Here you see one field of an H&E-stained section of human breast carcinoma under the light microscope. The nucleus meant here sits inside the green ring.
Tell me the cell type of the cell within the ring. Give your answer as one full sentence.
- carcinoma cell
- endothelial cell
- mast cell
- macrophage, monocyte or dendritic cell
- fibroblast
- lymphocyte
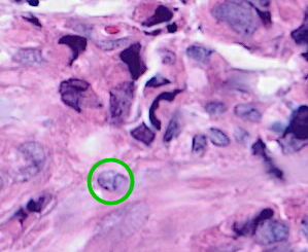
This is a macrophage, monocyte or dendritic cell.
